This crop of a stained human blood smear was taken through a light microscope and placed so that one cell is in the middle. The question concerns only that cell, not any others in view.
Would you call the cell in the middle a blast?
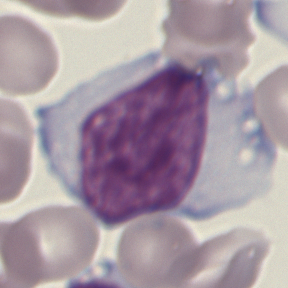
yes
